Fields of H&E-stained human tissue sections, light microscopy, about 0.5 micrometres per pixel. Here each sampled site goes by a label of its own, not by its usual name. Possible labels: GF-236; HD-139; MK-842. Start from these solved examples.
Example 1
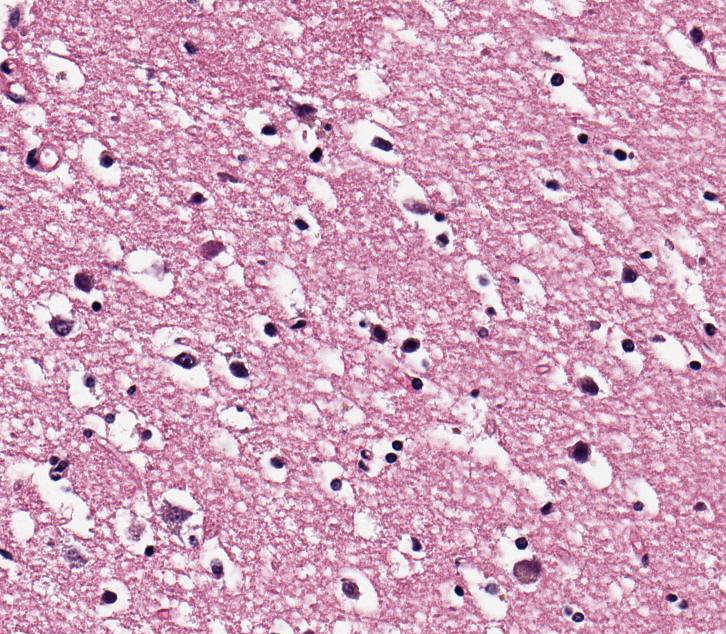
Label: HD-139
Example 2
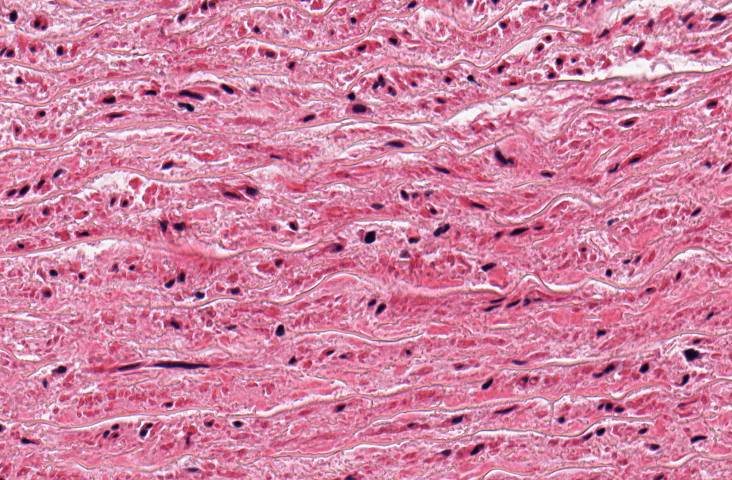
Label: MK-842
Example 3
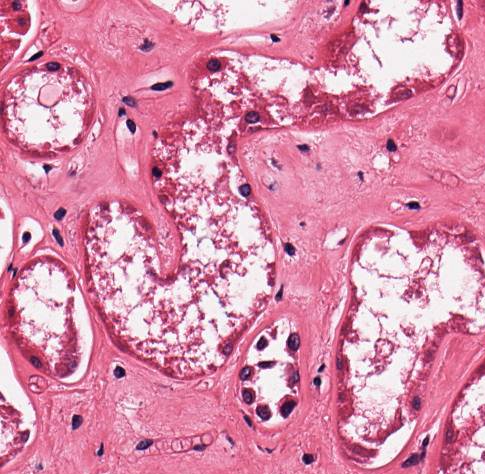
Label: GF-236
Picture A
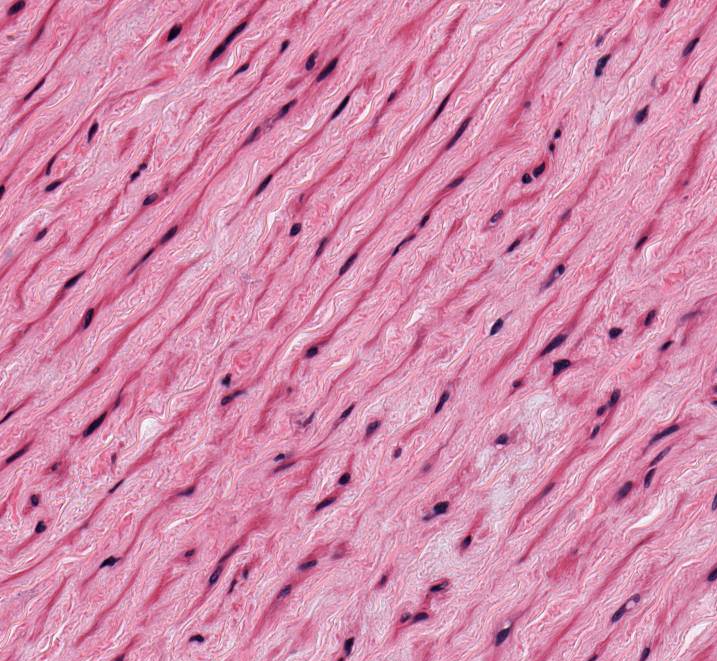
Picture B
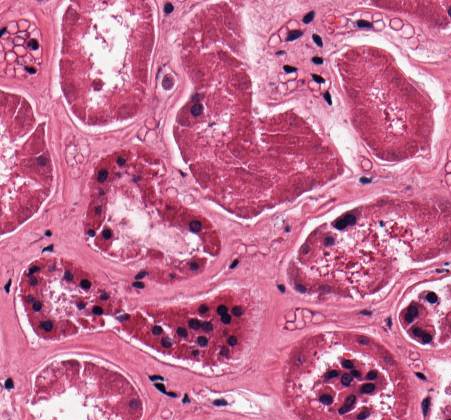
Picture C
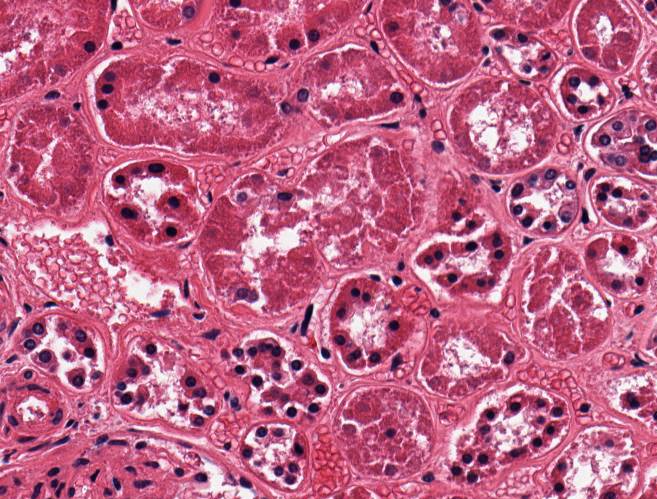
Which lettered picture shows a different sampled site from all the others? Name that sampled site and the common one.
Different: A, MK-842. Others: GF-236.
